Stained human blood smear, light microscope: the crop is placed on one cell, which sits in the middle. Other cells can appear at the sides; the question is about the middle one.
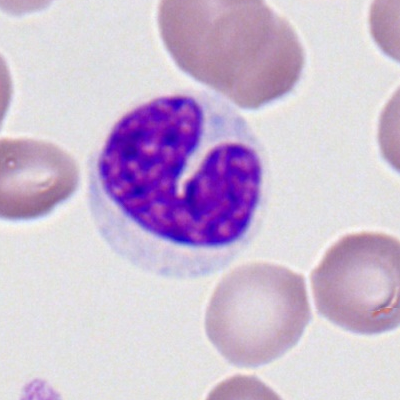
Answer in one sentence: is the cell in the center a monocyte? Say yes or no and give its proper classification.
Yes, the cell at the centre of this crop is identified as a monocyte.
